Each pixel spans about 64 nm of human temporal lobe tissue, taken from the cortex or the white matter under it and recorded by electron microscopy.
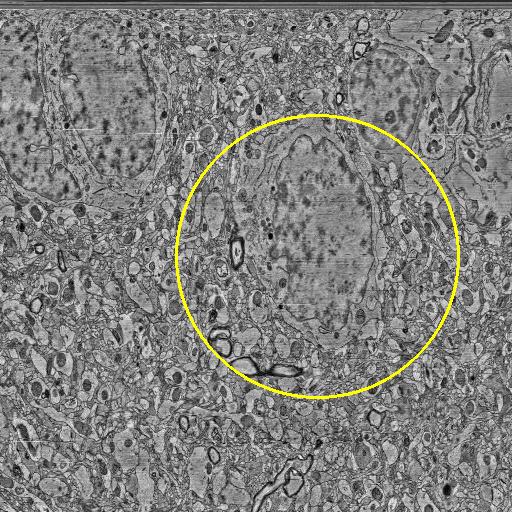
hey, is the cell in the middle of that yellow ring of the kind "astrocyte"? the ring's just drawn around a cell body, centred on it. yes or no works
no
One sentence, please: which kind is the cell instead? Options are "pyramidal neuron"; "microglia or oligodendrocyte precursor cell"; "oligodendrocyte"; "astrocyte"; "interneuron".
Instead, the cell inside the ring is an interneuron.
